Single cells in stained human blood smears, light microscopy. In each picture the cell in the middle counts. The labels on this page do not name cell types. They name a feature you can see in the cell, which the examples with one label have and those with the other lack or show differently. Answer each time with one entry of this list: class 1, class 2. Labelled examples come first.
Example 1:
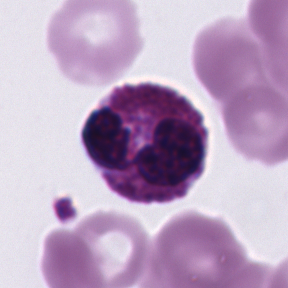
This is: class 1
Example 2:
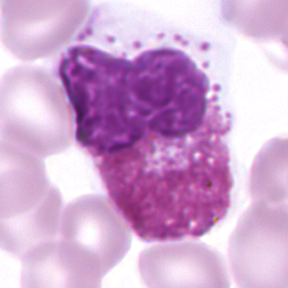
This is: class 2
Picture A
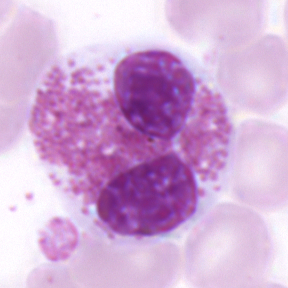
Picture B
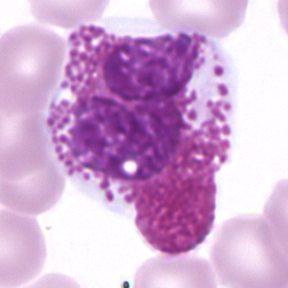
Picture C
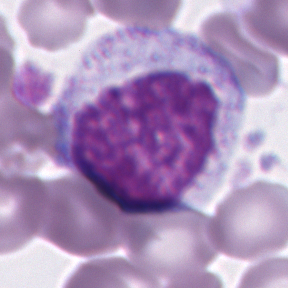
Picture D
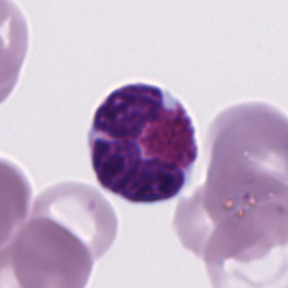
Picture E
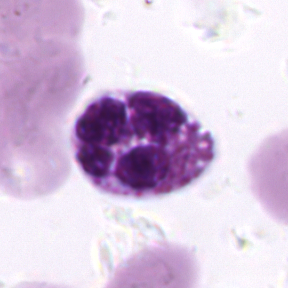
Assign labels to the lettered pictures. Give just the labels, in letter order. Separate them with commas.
class 1, class 1, class 2, class 2, class 2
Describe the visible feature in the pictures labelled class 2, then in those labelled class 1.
In class 2: fine or small granules. In class 1: coarse or large granules.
